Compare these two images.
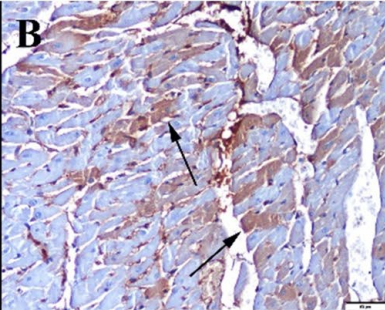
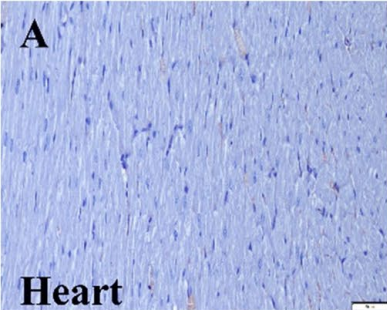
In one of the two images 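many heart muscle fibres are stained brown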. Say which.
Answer: The first image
